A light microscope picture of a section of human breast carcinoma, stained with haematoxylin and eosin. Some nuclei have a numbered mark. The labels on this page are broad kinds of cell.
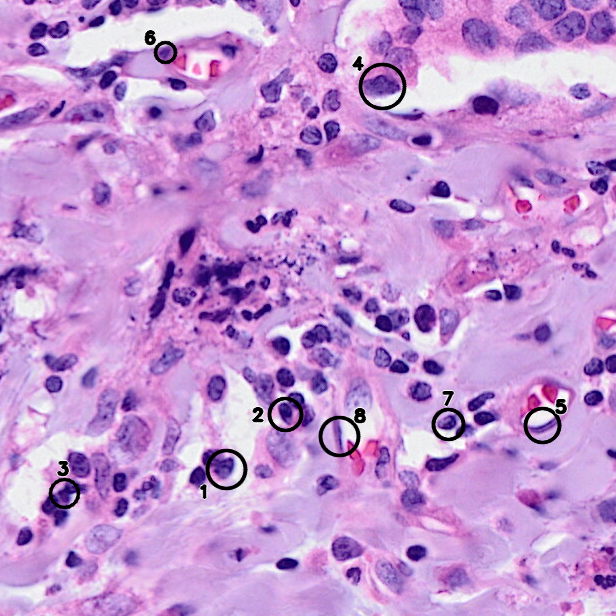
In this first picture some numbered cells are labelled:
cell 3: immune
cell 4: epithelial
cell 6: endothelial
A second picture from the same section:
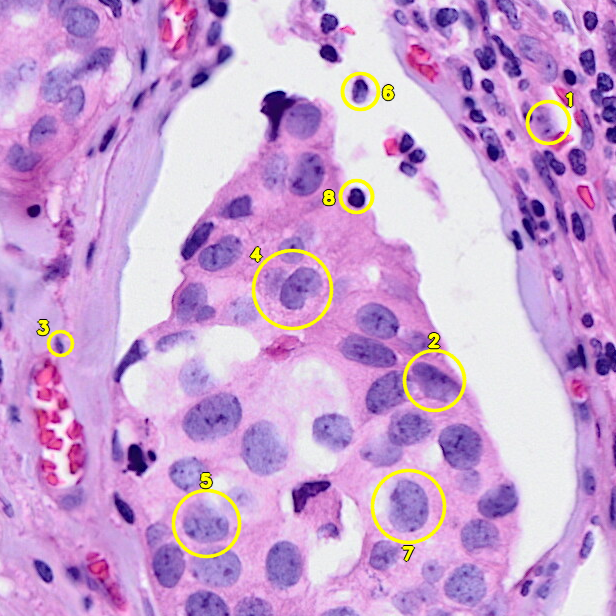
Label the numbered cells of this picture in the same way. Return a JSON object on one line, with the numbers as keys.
{"1": "endothelial", "2": "epithelial", "3": "endothelial", "4": "epithelial", "5": "epithelial", "6": "immune", "7": "epithelial", "8": "immune"}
